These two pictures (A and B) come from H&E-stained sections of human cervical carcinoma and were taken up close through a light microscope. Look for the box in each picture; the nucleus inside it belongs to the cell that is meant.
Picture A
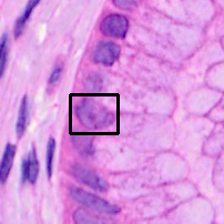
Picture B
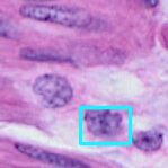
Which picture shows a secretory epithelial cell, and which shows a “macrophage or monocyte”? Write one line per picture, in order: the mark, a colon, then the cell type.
A: secretory epithelial cell
B: macrophage or monocyte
